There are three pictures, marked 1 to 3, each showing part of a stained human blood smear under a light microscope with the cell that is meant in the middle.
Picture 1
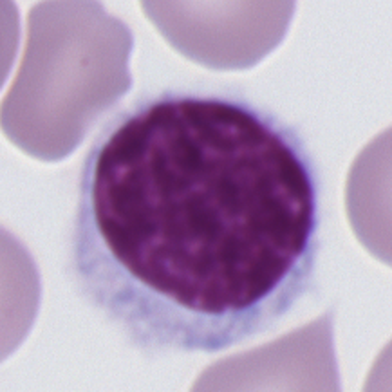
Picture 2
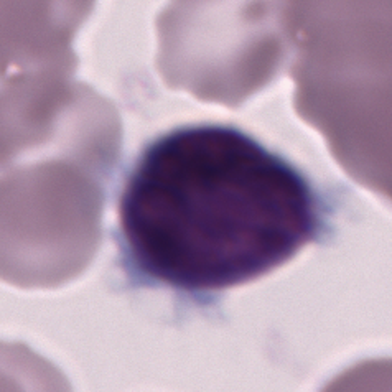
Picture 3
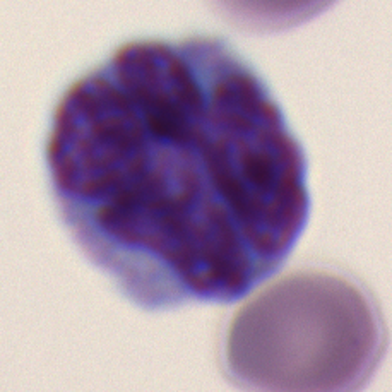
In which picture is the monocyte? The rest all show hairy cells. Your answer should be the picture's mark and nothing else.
3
